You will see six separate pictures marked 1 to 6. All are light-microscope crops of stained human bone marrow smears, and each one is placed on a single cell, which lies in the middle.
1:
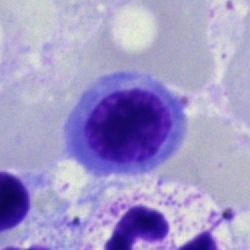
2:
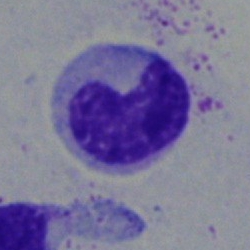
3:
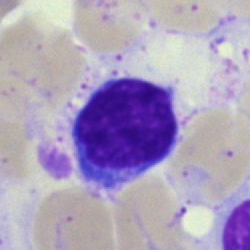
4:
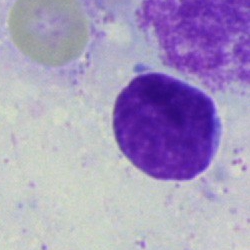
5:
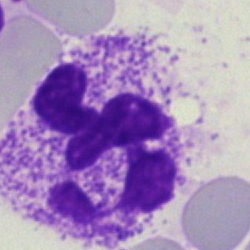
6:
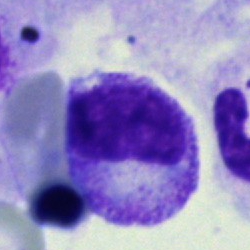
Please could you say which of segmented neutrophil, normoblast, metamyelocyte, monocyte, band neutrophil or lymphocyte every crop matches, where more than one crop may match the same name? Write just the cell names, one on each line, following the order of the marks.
normoblast
metamyelocyte
lymphocyte
lymphocyte
segmented neutrophil
metamyelocyte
